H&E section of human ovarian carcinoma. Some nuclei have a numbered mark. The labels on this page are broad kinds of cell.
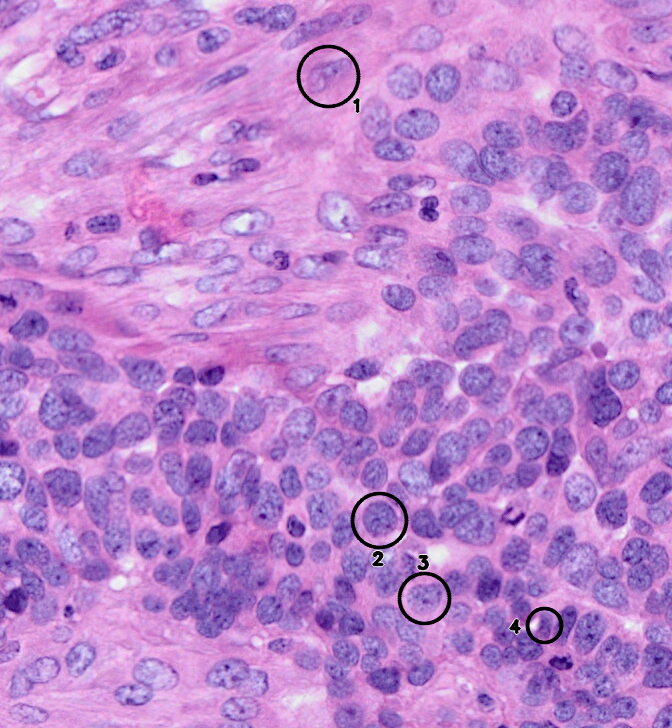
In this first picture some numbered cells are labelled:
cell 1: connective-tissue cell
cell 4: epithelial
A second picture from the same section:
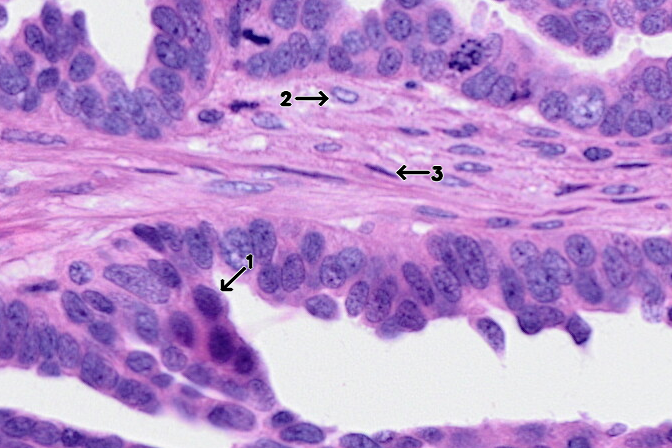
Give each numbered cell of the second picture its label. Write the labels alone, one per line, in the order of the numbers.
epithelial
connective-tissue cell
connective-tissue cell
